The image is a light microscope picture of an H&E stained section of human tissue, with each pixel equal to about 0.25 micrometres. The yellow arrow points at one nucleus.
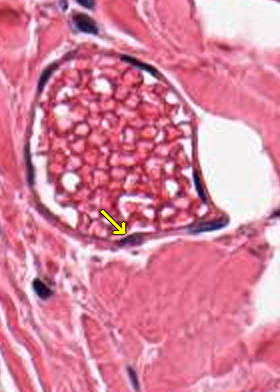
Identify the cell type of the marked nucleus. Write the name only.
endothelial cell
